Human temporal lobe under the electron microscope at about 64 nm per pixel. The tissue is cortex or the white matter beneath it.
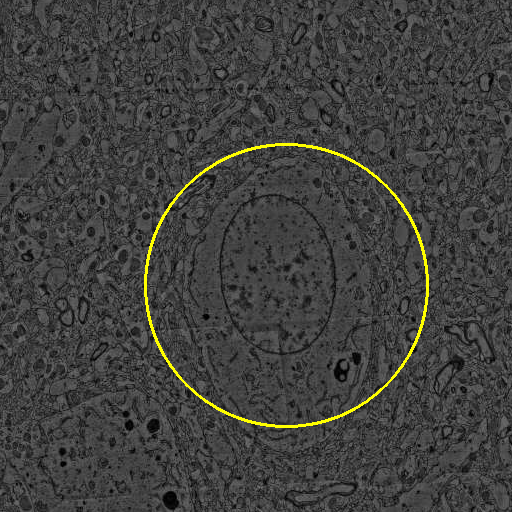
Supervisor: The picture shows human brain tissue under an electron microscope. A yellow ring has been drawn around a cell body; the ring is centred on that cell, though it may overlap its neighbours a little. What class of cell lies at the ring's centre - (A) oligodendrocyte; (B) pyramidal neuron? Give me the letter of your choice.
B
